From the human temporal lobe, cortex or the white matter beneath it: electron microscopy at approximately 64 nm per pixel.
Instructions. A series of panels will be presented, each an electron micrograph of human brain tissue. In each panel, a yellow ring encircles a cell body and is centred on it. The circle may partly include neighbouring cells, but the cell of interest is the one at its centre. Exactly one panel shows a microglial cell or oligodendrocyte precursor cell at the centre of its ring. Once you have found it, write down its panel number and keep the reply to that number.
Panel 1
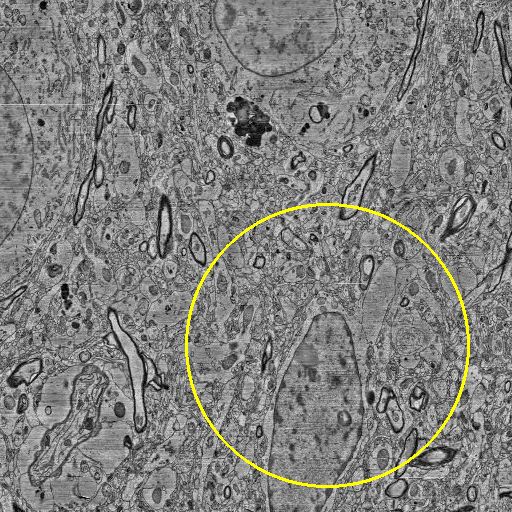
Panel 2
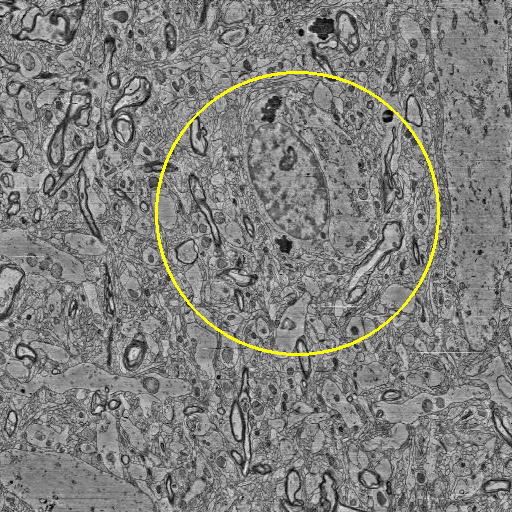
1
